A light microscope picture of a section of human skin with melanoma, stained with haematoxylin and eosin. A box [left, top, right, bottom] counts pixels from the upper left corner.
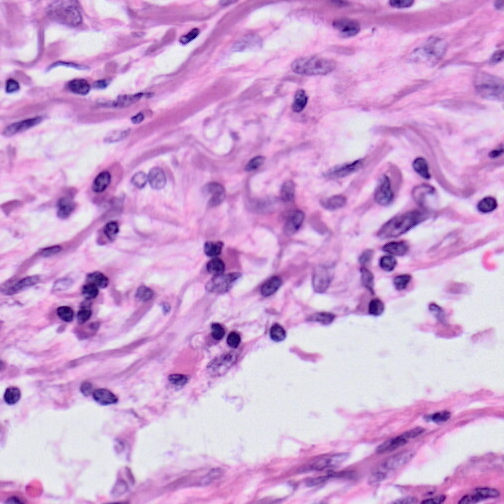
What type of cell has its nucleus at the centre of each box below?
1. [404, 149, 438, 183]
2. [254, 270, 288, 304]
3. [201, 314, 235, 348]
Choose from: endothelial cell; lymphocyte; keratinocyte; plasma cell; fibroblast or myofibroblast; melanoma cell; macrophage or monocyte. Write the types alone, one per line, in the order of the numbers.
lymphocyte
plasma cell
plasma cell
